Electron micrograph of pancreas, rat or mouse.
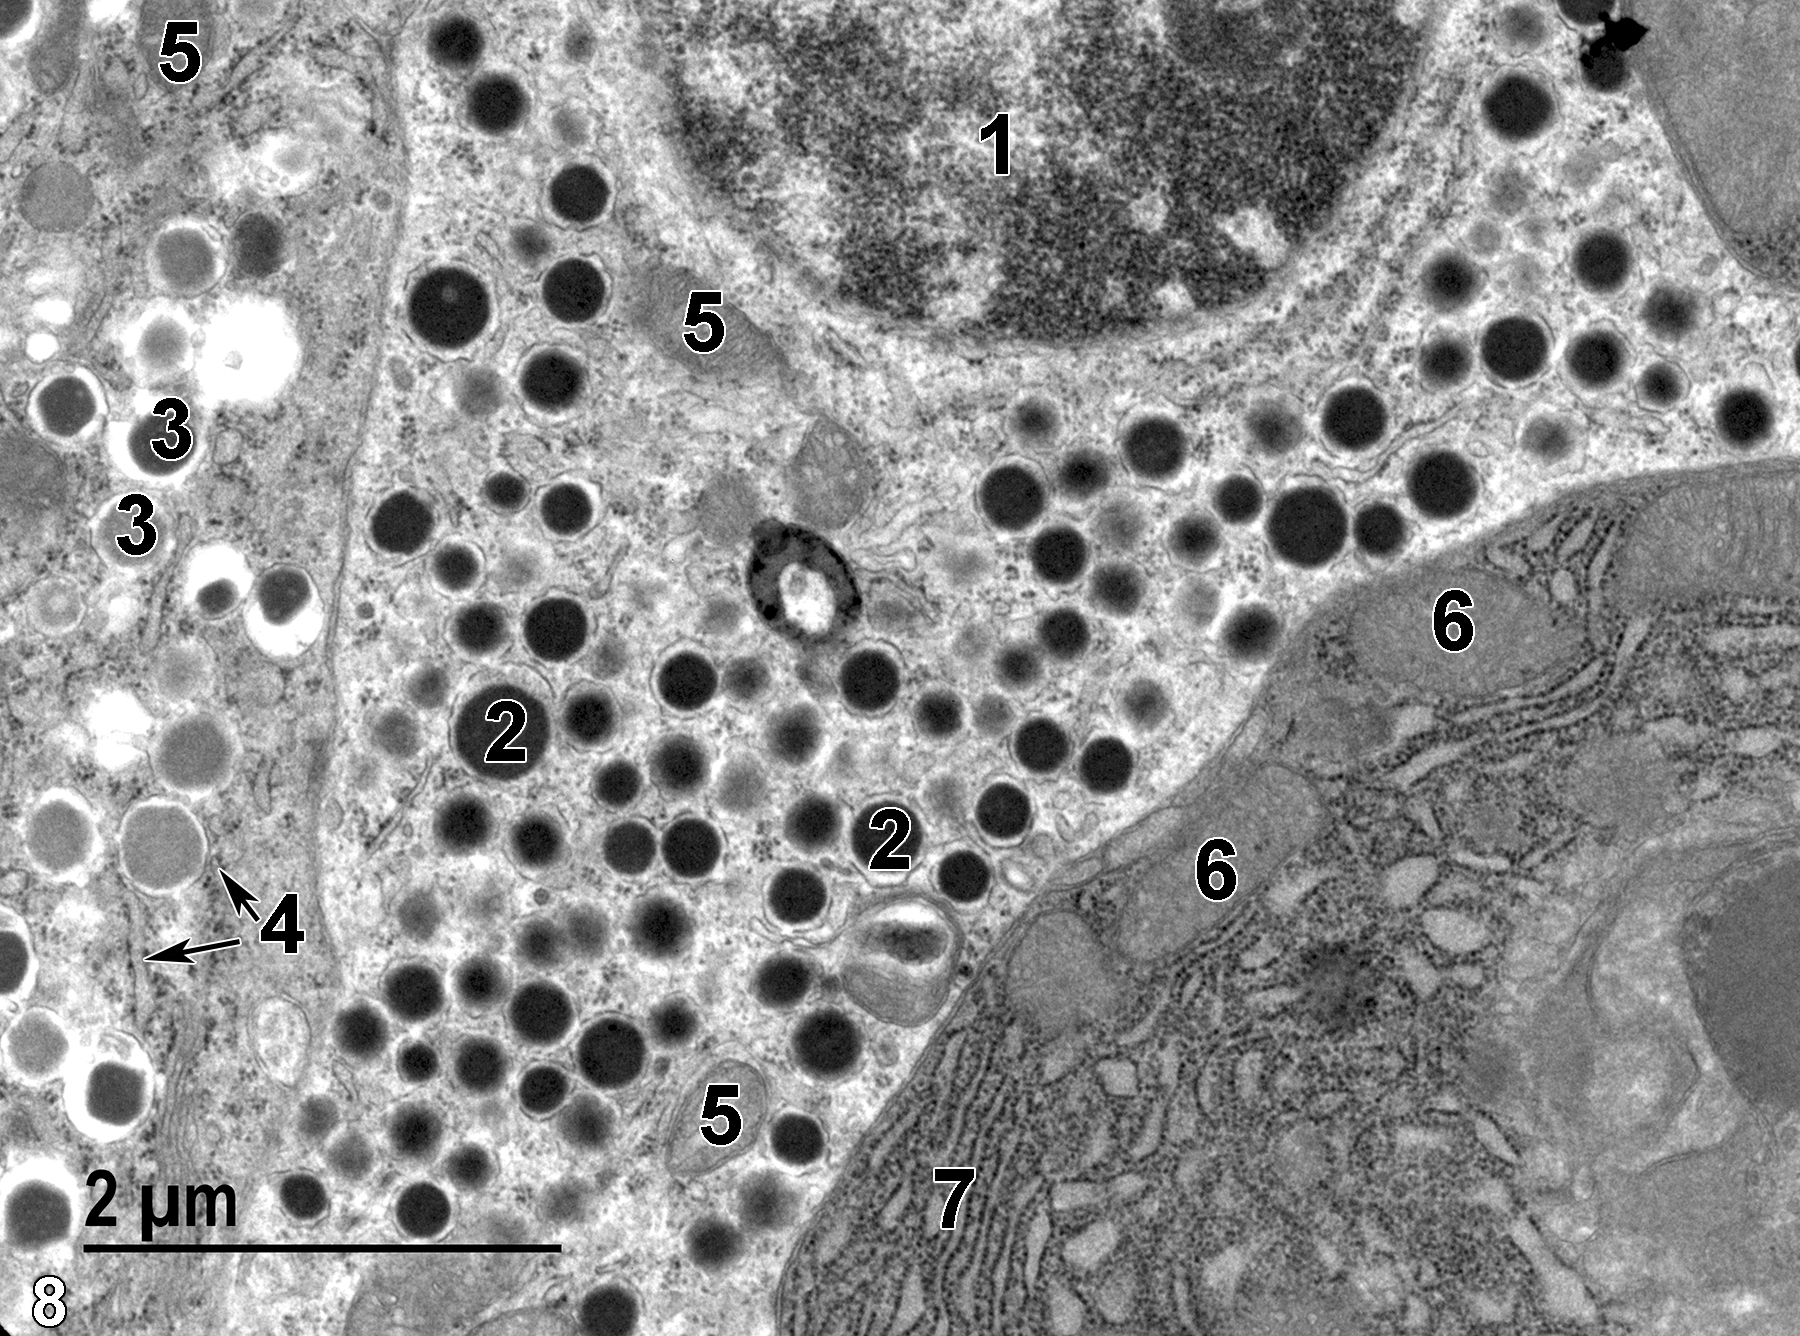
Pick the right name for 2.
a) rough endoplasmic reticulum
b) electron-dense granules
b) electron-dense granules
